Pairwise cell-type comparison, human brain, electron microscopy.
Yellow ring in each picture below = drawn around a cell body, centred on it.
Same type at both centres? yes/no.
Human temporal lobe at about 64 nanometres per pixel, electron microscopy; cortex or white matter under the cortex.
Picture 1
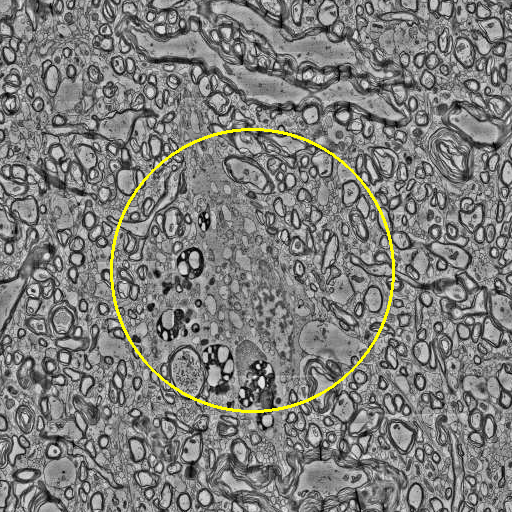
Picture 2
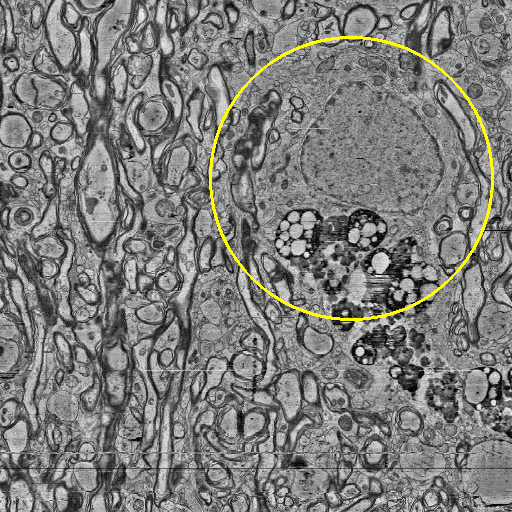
yes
